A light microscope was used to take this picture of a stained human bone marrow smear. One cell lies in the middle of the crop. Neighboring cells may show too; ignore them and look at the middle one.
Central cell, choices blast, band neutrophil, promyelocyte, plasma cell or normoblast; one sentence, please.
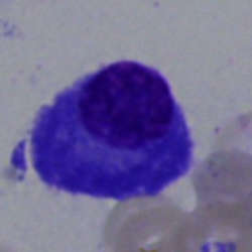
In the central position of this crop, the cell is a plasma cell.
